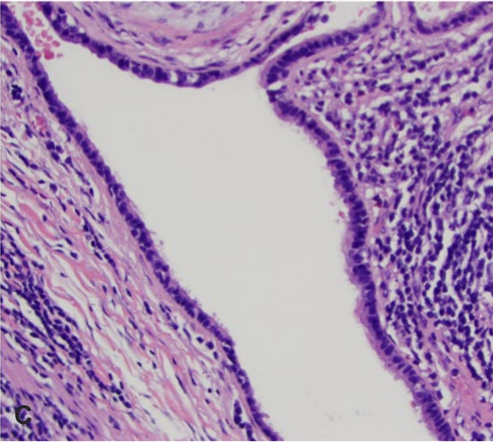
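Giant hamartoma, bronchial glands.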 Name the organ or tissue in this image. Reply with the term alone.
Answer: Ciliated respiratory epithelium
